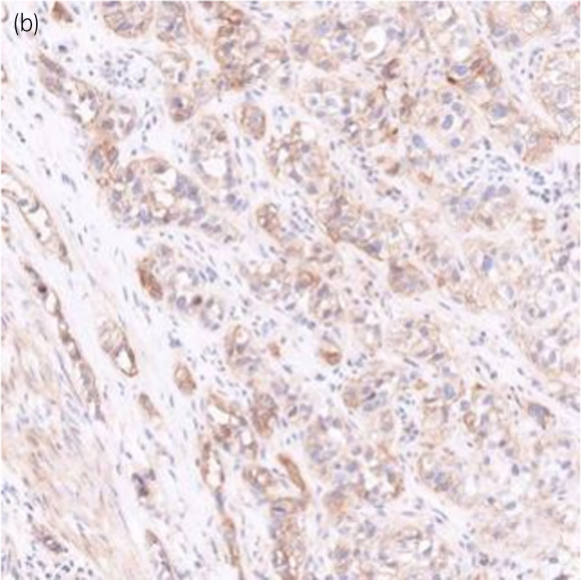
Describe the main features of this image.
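The nuclei are counterstained blue and lie within the brown-rimmed cells. The thin strands of stroma between the nests contain spindle-shaped cells that stay largely unstained. Staining intensity varies from cell to cell, with some cells dark brown and others paler.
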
